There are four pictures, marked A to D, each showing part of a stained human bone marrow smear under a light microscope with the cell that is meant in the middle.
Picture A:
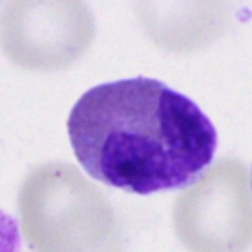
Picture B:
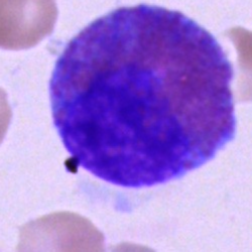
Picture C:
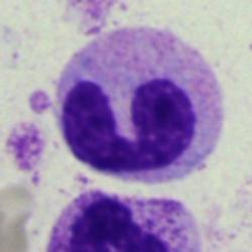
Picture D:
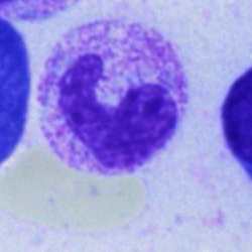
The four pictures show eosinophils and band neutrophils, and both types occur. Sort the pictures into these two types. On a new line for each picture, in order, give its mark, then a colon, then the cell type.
A: eosinophil
B: eosinophil
C: band neutrophil
D: band neutrophil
